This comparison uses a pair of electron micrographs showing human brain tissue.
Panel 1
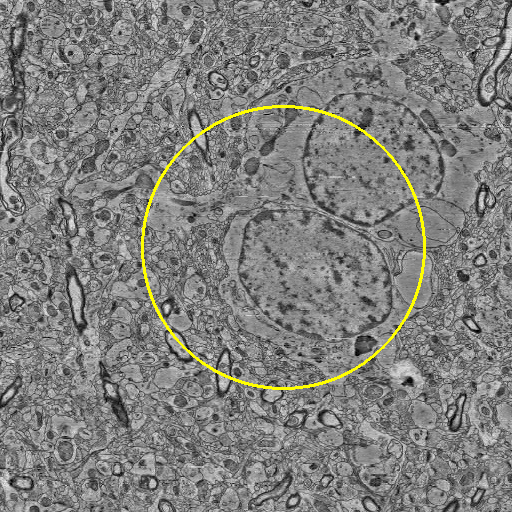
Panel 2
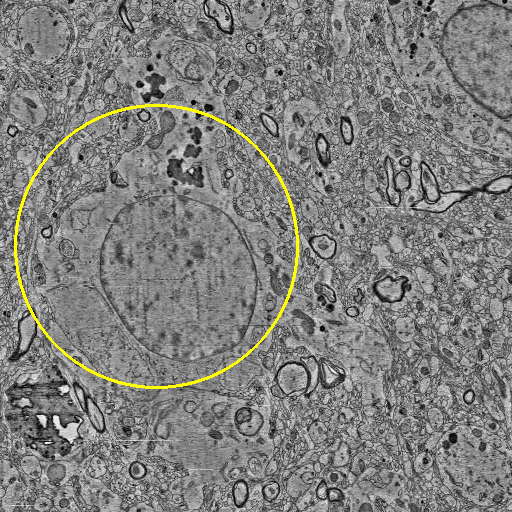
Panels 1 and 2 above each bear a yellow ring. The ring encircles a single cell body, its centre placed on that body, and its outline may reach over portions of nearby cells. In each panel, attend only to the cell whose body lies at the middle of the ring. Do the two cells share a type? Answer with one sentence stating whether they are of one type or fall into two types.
In Panel 1 and Panel 2, the cells at the centres of the rings are of one type.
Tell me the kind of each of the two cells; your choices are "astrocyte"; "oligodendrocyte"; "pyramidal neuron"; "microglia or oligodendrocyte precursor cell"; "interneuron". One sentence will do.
Both cells are the same kind, each one being an astrocyte.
